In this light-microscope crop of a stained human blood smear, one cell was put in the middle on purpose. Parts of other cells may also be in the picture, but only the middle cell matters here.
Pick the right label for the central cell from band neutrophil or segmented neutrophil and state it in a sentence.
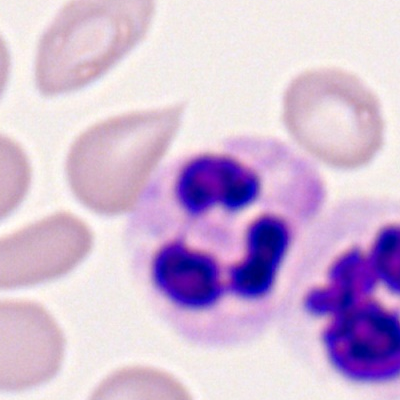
The cell at the heart of this crop is a segmented neutrophil.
